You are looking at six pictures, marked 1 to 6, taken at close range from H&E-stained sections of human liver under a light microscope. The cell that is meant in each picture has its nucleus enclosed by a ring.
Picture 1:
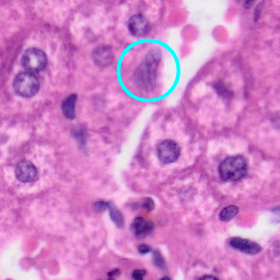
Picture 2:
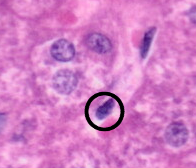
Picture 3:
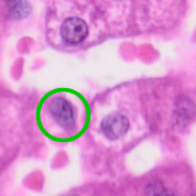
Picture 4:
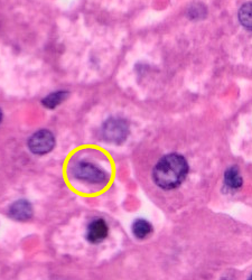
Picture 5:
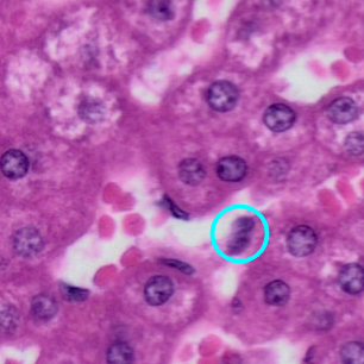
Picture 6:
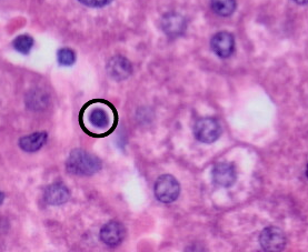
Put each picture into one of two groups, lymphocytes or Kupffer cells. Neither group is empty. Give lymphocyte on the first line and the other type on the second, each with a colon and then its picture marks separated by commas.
lymphocyte: 2, 6
Kupffer cell: 1, 3, 4, 5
